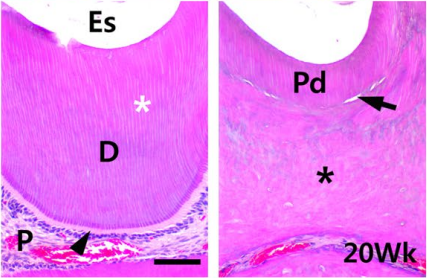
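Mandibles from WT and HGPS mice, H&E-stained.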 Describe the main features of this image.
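These are crowns of molar teeth with pink dentin below the enamel space. In one image the dentin is crossed by fine, regular parallel tubules, with a paler predentin band and a cell layer lining the pulp, which contains blood vessels, beneath it. In the other a thin upper dentin layer is separated by a line from an irregular, disorganized mass of dentin that fills the space where the pulp would lie.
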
